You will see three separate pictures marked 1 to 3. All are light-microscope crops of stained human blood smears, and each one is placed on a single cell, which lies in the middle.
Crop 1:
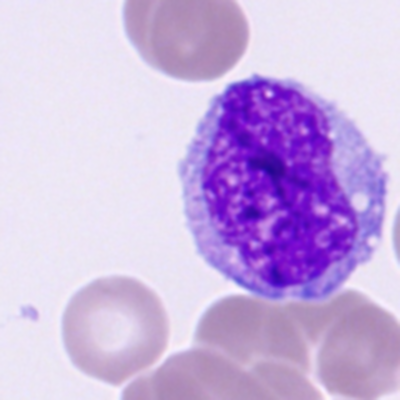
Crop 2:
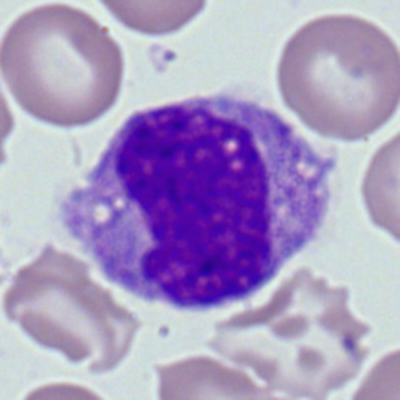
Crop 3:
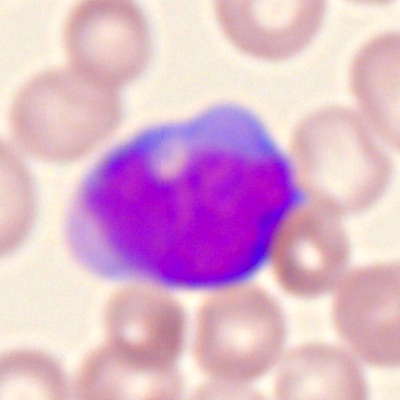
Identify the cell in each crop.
1: monocyte
2: monocyte
3: myeloblast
